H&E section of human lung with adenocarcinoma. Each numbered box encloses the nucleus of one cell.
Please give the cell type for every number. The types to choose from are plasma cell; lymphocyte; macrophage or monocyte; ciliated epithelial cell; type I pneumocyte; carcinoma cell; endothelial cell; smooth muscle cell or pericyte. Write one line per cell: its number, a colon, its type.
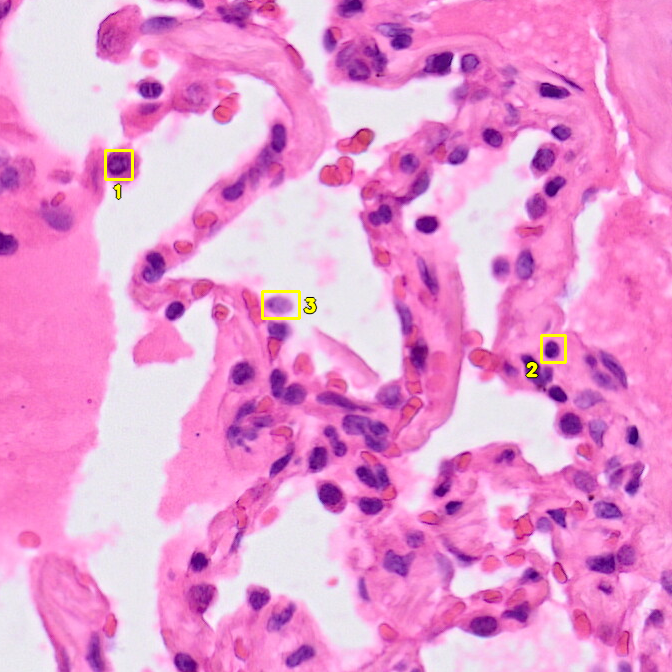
1: macrophage or monocyte
2: lymphocyte
3: type I pneumocyte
